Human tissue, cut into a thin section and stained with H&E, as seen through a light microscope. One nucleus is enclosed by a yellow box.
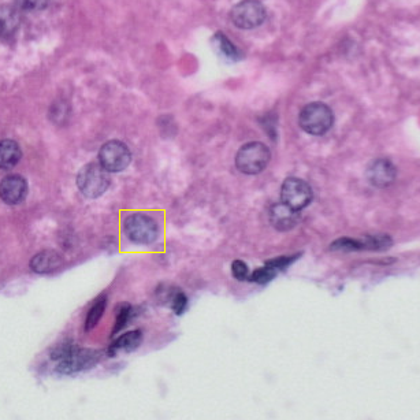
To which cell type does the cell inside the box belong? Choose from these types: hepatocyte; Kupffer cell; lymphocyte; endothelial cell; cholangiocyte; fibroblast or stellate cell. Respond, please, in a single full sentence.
To be brief about it, the cell inside the box is a cholangiocyte.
